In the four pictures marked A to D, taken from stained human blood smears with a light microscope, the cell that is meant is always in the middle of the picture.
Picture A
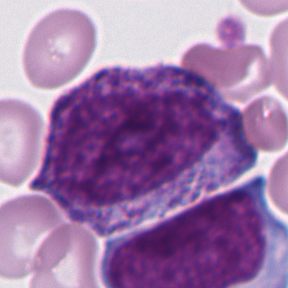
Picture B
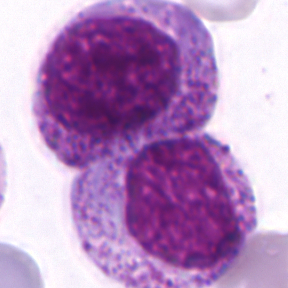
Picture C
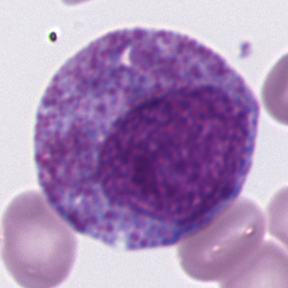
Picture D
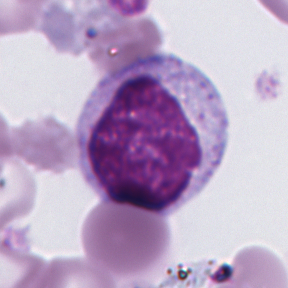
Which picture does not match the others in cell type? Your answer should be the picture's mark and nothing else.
C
